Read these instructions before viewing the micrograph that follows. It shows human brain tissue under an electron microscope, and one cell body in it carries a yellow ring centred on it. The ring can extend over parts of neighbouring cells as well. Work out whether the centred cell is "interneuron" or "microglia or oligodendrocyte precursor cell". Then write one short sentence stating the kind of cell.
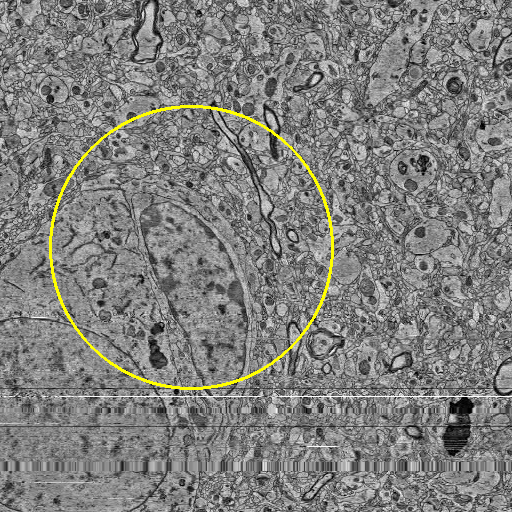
The ringed cell is a microglial cell or oligodendrocyte precursor cell.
